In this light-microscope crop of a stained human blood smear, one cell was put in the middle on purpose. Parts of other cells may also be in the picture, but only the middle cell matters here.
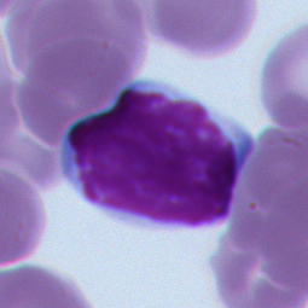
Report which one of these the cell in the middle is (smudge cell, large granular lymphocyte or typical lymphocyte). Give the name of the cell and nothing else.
typical lymphocyte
